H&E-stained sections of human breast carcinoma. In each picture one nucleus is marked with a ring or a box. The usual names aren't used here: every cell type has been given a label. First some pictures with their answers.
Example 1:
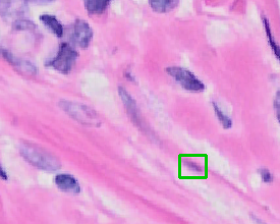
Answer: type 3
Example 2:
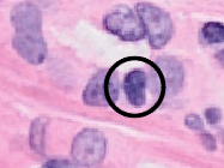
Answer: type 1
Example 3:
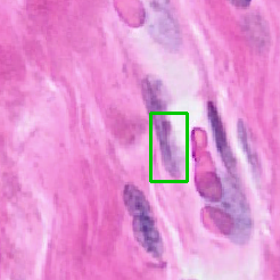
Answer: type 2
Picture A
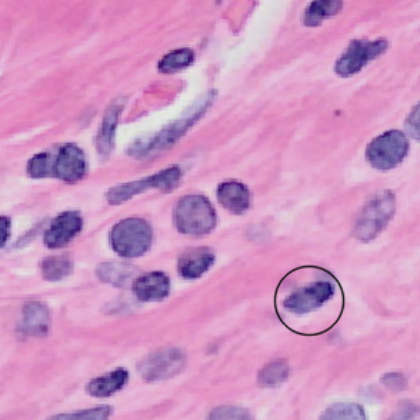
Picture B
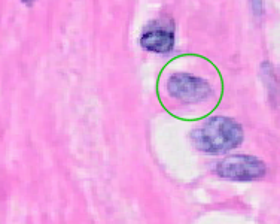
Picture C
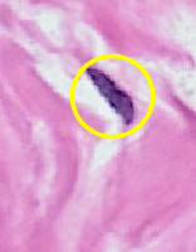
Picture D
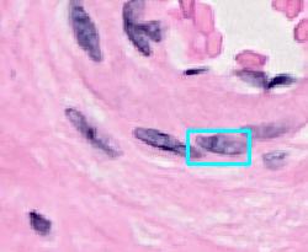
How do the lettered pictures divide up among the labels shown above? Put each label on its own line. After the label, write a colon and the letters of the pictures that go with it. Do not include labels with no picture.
type 3: C
type 1: A
type 2: B, D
